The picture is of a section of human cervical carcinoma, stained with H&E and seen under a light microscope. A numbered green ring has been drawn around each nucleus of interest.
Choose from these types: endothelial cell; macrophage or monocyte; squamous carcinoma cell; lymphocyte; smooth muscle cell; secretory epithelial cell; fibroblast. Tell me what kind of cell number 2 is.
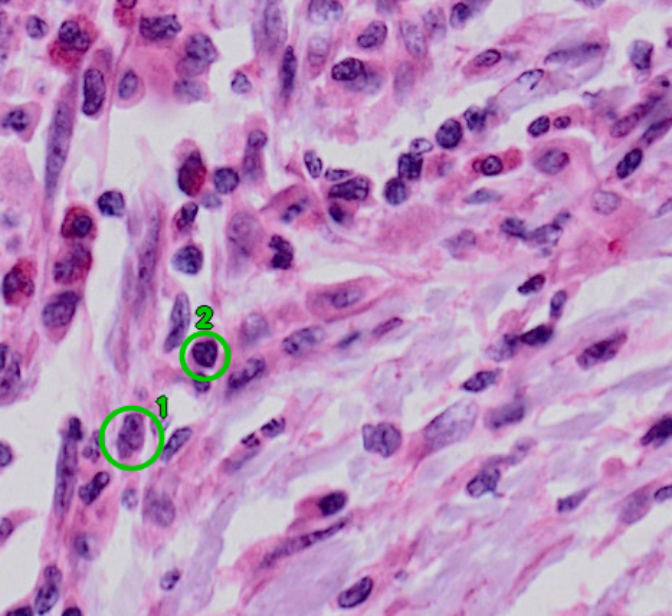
lymphocyte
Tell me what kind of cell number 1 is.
macrophage or monocyte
